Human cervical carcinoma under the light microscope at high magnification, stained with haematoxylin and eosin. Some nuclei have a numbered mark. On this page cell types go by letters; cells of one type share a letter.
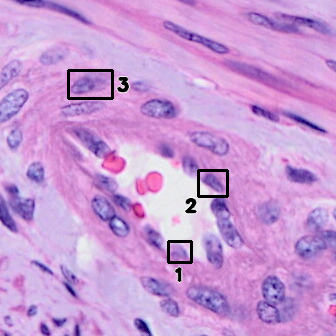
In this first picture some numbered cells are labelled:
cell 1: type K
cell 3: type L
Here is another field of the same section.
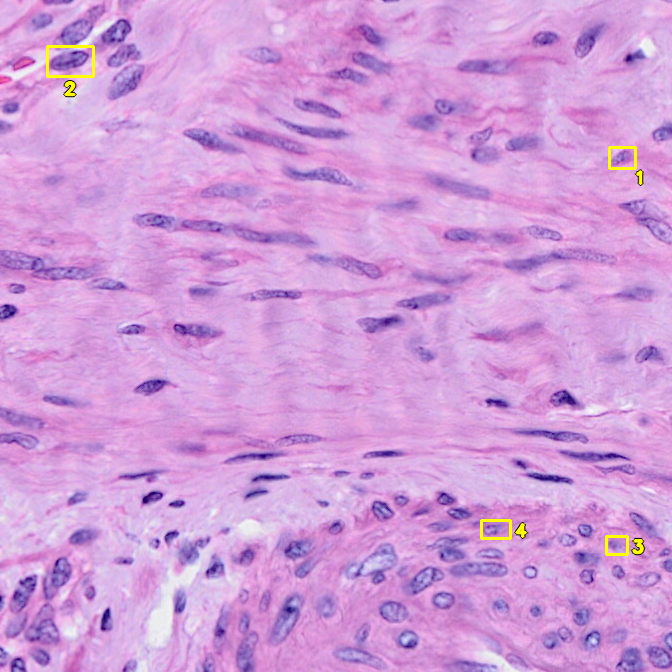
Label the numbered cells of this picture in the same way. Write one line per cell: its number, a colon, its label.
1: type L
2: type K
3: type L
4: type L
